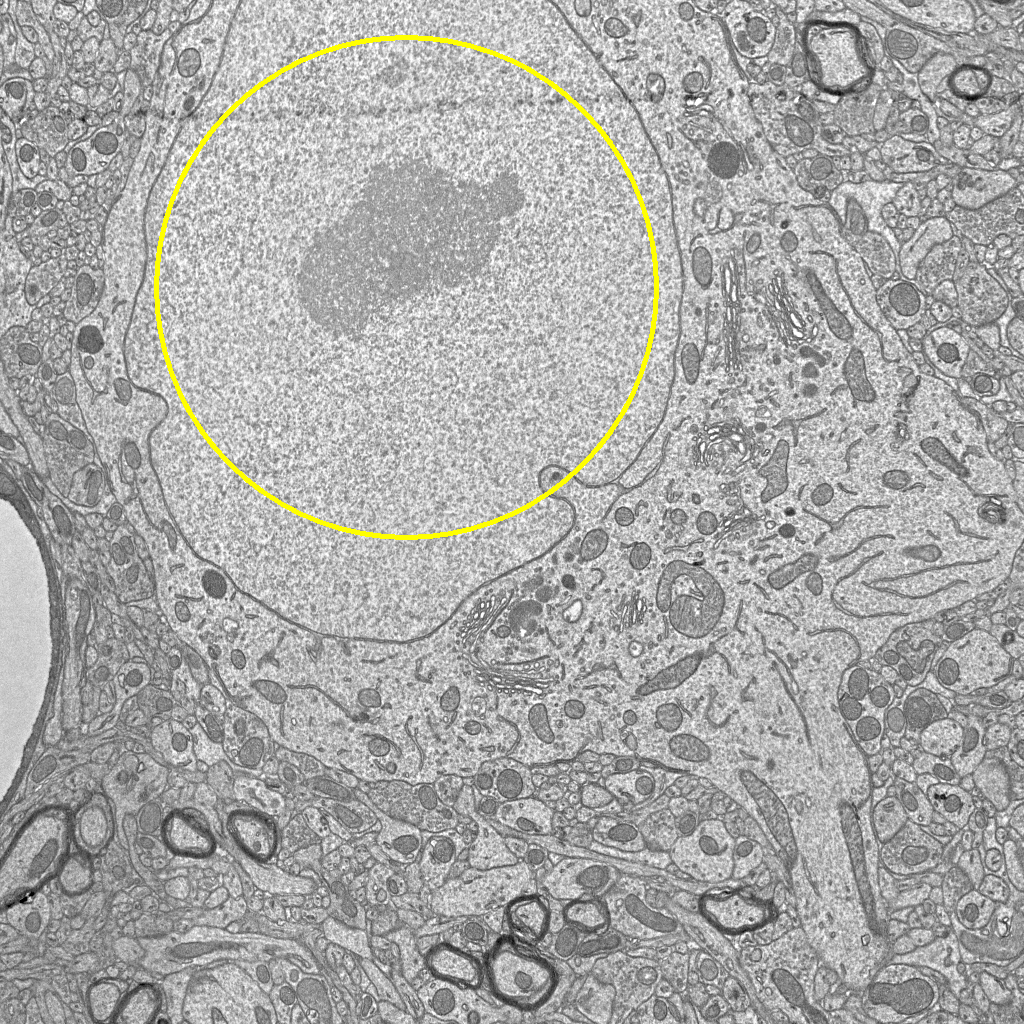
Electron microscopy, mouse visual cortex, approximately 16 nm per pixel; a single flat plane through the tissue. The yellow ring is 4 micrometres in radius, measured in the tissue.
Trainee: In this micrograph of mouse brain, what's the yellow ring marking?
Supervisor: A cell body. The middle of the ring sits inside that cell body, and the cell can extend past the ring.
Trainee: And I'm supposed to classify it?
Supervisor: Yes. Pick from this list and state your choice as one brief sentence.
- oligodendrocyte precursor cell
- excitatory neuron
The cell at the ring's center is an excitatory neuron.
